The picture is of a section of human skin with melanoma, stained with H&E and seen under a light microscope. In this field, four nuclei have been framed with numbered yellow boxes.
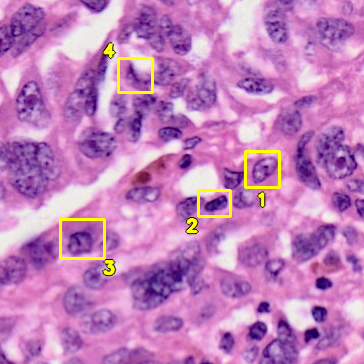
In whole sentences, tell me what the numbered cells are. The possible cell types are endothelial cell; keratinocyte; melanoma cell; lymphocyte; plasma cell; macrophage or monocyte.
Cells 1, 3 and 4 are melanoma cells. Cell 2 is a lymphocyte.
